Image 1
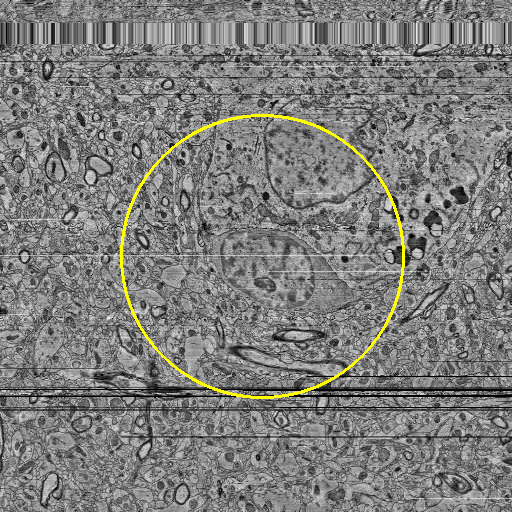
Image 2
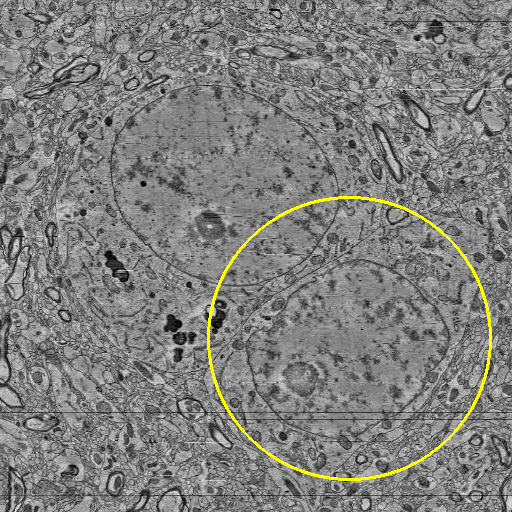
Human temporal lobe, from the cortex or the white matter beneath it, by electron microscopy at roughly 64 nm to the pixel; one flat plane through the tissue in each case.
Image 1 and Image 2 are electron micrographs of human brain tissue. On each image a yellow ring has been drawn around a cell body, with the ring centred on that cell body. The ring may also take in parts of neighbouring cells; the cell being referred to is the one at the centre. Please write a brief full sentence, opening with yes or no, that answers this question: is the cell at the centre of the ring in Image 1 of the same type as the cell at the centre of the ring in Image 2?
No, the two cells are of two types.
